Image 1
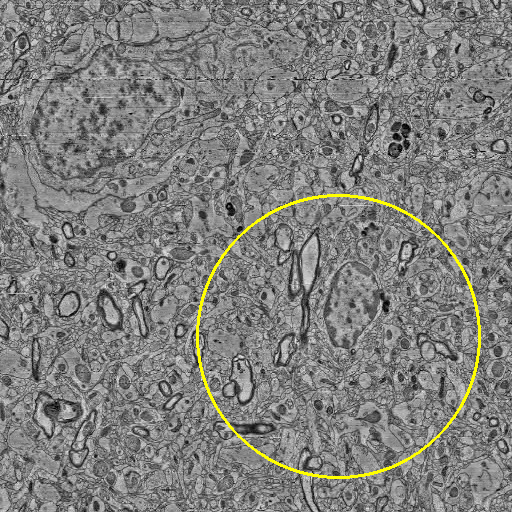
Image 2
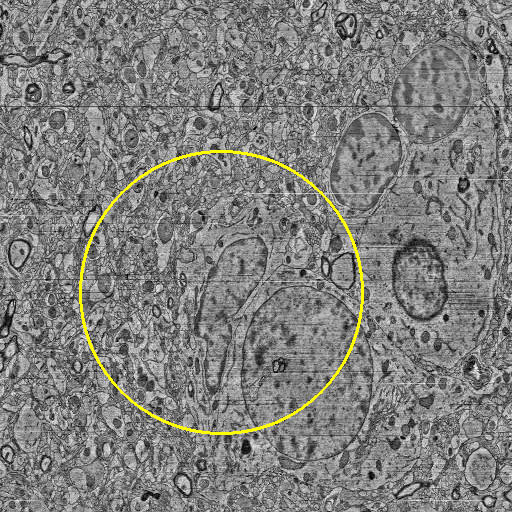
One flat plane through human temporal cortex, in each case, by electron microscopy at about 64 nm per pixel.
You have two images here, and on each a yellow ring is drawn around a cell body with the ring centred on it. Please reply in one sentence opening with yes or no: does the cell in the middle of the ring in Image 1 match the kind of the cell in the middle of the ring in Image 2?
Yes, the two images show cells of one kind at the centres of their rings.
